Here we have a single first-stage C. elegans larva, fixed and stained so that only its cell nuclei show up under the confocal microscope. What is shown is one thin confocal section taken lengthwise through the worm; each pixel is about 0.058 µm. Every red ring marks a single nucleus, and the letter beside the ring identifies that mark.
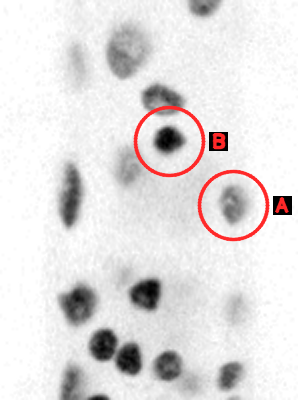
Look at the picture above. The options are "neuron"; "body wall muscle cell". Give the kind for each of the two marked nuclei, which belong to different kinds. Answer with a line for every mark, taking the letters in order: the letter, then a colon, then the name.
A: body wall muscle cell
B: neuron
